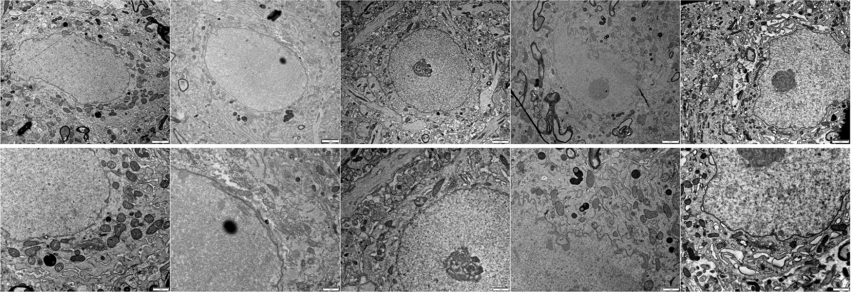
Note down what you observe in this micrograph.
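A rim of cytoplasm surrounds each nucleus and holds many small oval, electron-dense mitochondria, with myelinated profiles and neuropil around the cells. In the higher-magnification row, mitochondria appear near the nuclear border; in some images they are sparse or pale and vacuolated, while in others they are numerous and dense.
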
